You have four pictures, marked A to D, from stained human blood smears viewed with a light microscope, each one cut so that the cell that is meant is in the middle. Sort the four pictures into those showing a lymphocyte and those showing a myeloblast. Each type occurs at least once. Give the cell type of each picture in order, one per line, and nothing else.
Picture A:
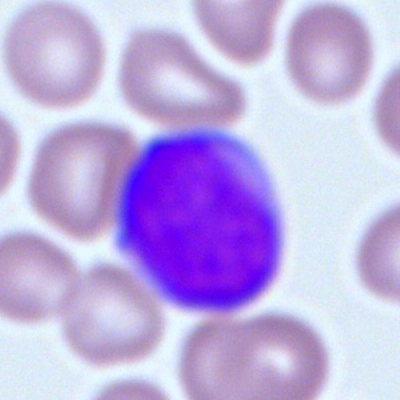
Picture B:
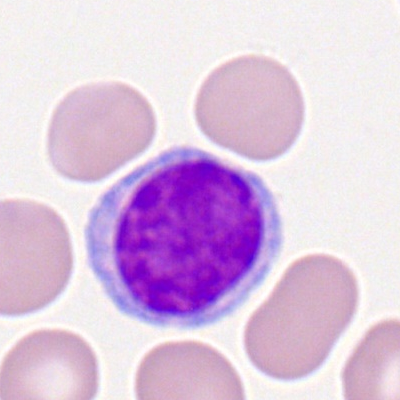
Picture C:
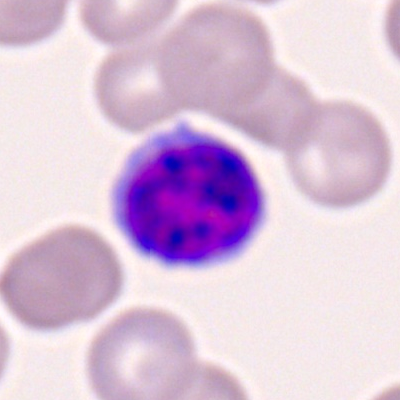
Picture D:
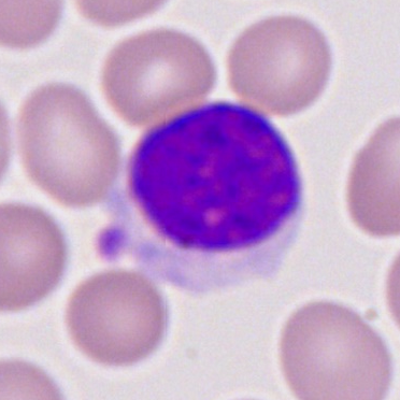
myeloblast
lymphocyte
lymphocyte
lymphocyte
